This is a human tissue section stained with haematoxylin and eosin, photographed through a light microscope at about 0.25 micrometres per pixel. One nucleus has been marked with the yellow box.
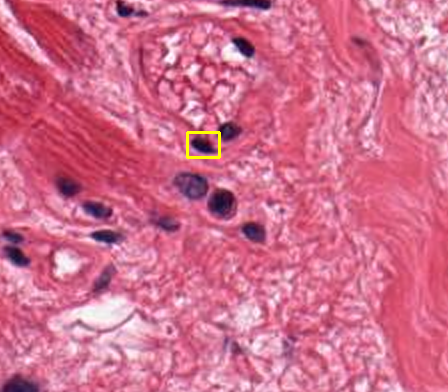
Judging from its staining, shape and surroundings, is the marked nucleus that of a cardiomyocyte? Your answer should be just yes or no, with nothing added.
no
